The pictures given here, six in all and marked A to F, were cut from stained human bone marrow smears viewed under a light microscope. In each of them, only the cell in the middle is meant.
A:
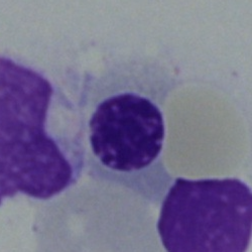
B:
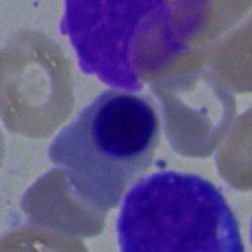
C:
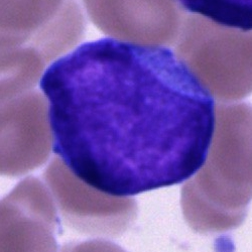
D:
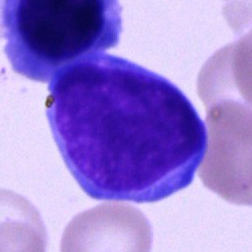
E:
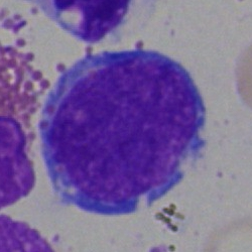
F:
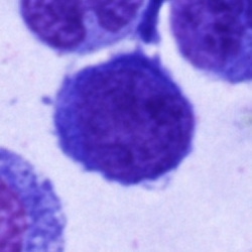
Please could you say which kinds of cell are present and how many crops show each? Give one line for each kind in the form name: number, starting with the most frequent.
blast: 4
normoblast: 2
